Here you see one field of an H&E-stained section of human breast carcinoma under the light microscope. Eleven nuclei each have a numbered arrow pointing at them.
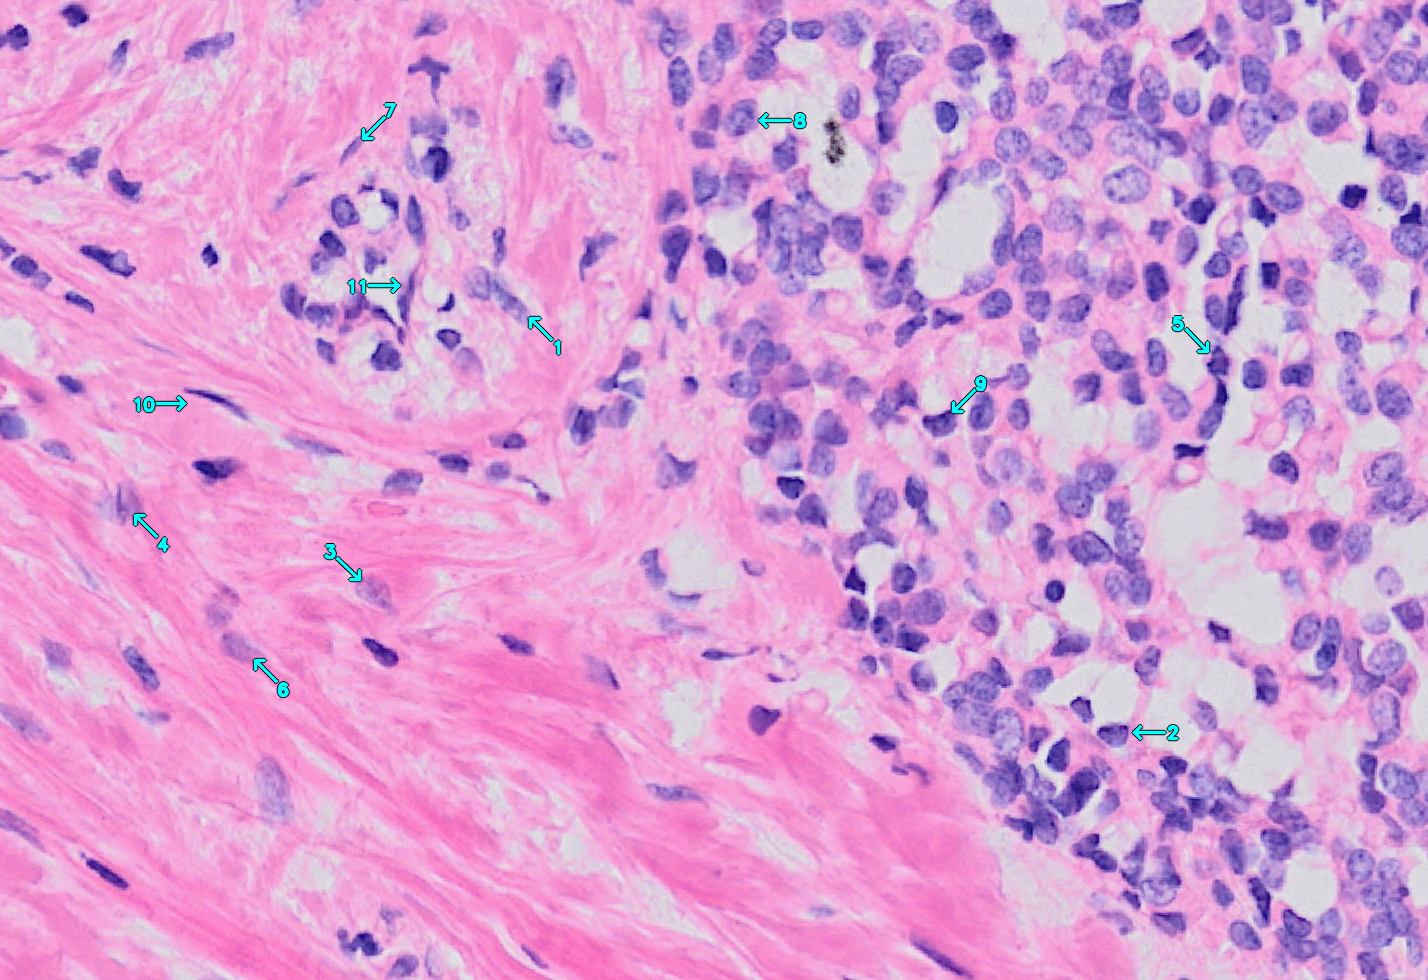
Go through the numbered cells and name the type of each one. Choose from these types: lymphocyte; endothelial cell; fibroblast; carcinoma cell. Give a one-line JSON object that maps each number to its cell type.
{"1": "fibroblast", "2": "carcinoma cell", "3": "fibroblast", "4": "fibroblast", "5": "carcinoma cell", "6": "fibroblast", "7": "fibroblast", "8": "carcinoma cell", "9": "carcinoma cell", "10": "fibroblast", "11": "endothelial cell"}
